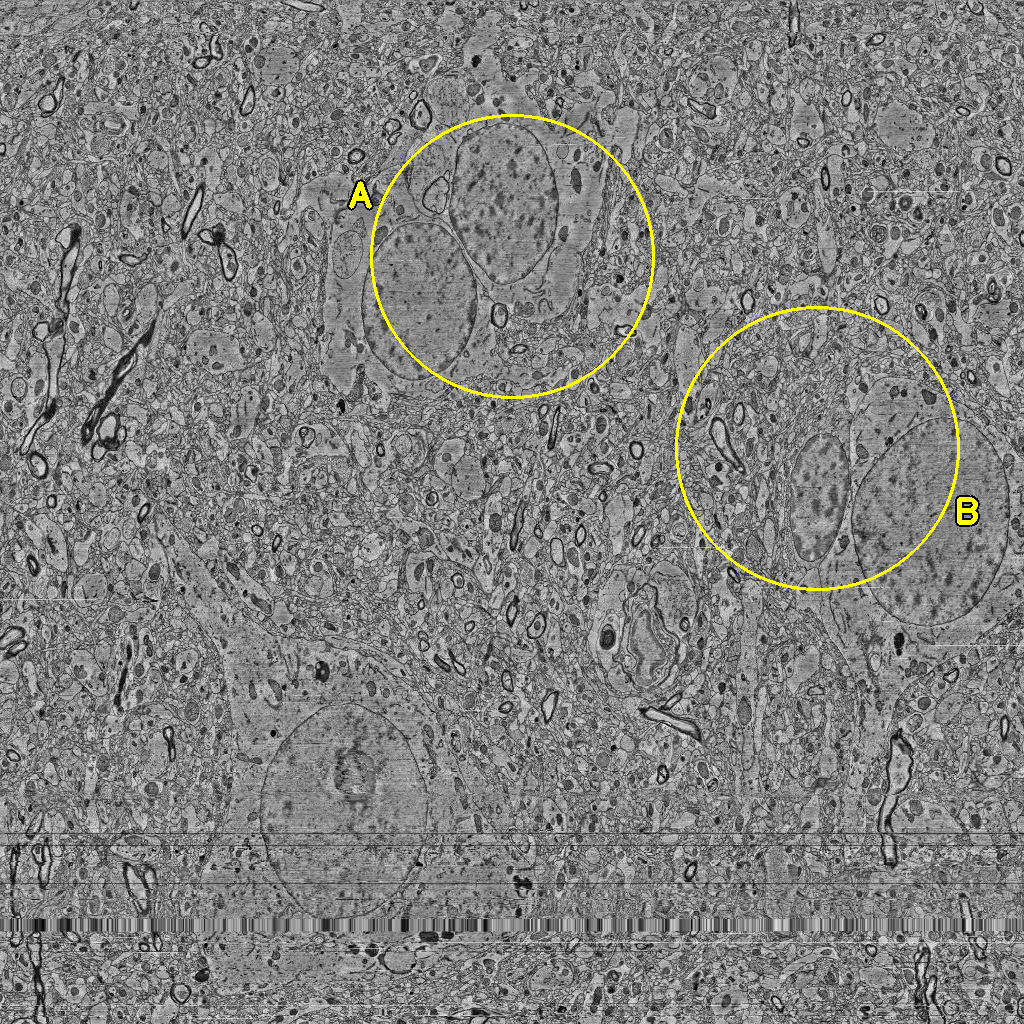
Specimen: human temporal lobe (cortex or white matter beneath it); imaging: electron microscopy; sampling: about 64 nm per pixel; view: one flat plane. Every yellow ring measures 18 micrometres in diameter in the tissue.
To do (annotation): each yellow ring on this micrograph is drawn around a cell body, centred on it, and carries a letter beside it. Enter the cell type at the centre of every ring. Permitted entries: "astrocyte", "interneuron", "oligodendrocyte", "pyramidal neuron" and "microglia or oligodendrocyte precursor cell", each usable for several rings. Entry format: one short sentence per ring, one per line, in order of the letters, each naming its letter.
Ring A: the cell at its centre is an astrocyte.
Ring B: the cell at its centre is an oligodendrocyte.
